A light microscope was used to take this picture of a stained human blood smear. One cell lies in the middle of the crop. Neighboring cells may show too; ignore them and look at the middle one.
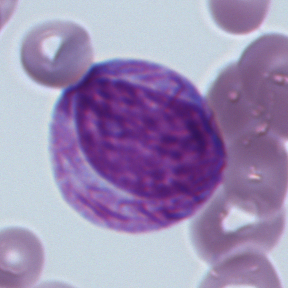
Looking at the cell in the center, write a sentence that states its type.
The crop shows an atypical promyelocyte in its centre.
